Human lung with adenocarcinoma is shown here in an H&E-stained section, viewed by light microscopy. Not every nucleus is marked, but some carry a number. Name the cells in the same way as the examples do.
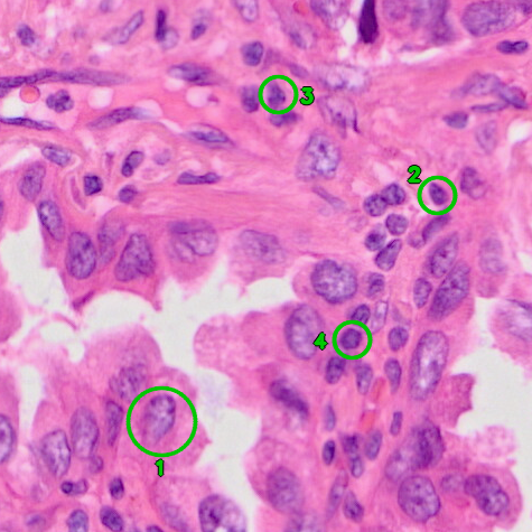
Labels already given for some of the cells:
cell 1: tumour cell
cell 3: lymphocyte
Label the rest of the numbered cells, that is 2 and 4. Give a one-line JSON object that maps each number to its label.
{"2": "lymphocyte", "4": "lymphocyte"}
